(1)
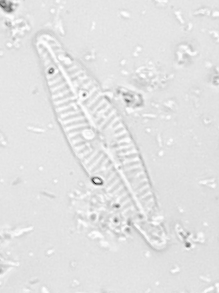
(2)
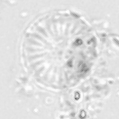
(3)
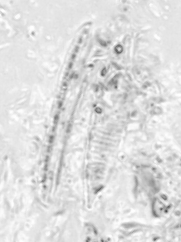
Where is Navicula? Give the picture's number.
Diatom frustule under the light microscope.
1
